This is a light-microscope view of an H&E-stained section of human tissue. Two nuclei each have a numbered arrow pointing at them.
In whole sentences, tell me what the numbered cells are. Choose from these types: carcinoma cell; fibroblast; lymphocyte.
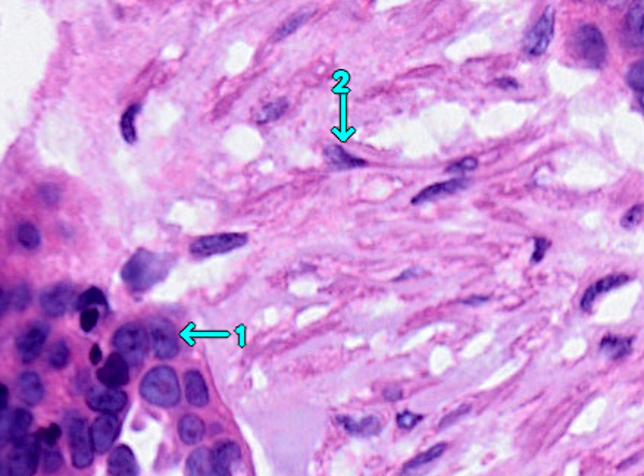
Cell 1 is a carcinoma cell. Cell 2 is a fibroblast.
